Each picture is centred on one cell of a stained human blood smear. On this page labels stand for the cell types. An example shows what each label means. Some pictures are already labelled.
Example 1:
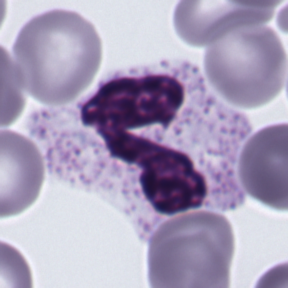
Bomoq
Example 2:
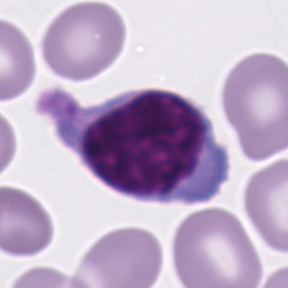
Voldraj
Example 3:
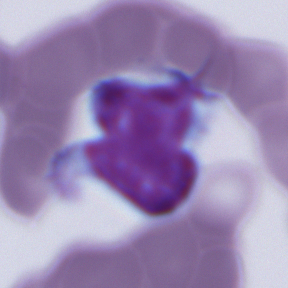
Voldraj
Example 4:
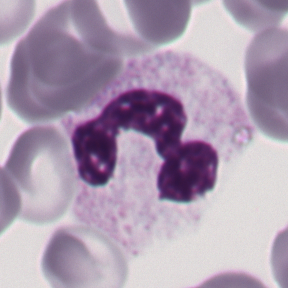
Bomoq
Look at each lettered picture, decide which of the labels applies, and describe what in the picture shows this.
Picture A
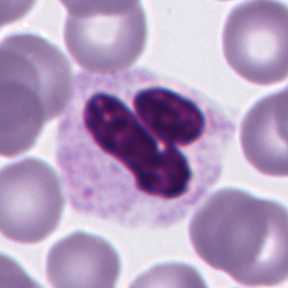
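Bomoq: A wide rim of pale pinkish-lilac cytoplasm surrounds the nucleus.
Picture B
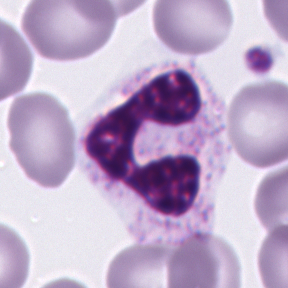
Bomoq: The cytoplasm is plentiful and pale pinkish-lilac.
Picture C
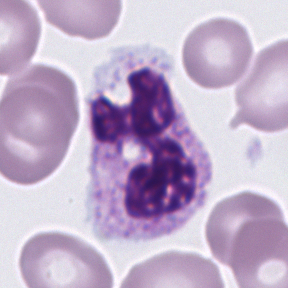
Bomoq: The cytoplasm is plentiful and pale pinkish-lilac.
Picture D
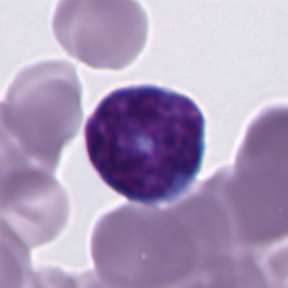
Voldraj: Cytoplasm is scant, seen at most as a thin rim at the edge.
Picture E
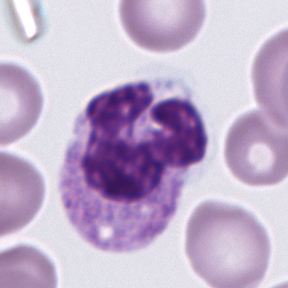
Bomoq: A deep cleft entering from the top splits the nucleus into lobes.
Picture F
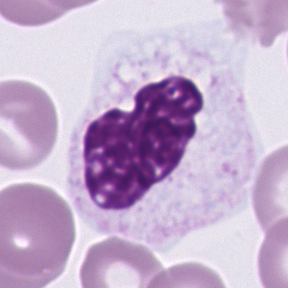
Bomoq: Cytoplasm is abundant and surrounds the nucleus on all sides.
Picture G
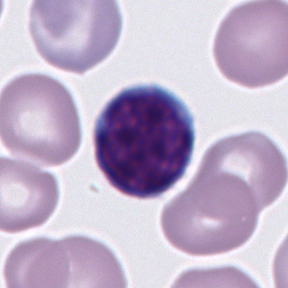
Voldraj: The cytoplasm is only a thin blue rim at the cell's edge.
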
